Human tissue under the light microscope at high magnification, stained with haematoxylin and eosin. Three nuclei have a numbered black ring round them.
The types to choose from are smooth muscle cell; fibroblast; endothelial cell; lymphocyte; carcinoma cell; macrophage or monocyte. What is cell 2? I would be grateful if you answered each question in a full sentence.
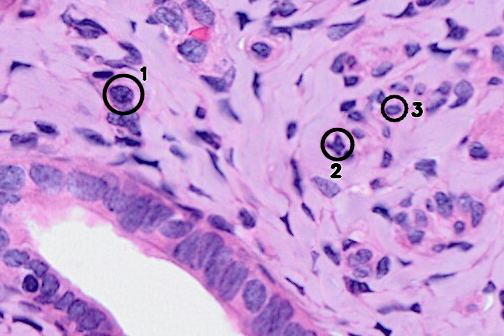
The marked cell bearing number 2 is a smooth muscle cell.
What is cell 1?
Cell 1, among those numbered, is an endothelial cell.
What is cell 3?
The cell carrying label 3 is identified as a smooth muscle cell.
